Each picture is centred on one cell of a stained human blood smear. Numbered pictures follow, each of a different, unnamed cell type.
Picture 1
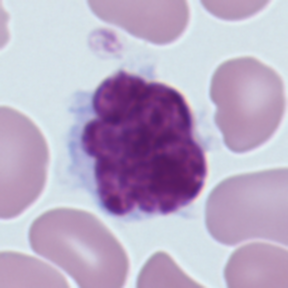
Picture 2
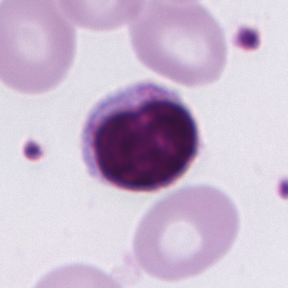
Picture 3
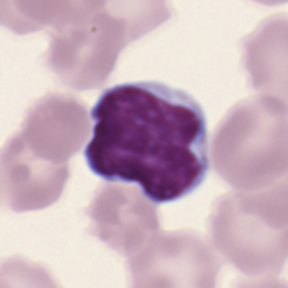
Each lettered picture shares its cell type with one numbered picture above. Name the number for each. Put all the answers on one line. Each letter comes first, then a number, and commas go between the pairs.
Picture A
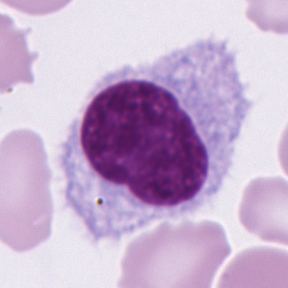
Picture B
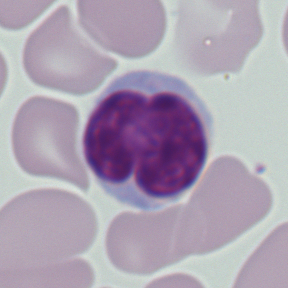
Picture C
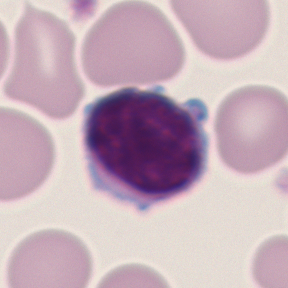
A 1, B 3, C 3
